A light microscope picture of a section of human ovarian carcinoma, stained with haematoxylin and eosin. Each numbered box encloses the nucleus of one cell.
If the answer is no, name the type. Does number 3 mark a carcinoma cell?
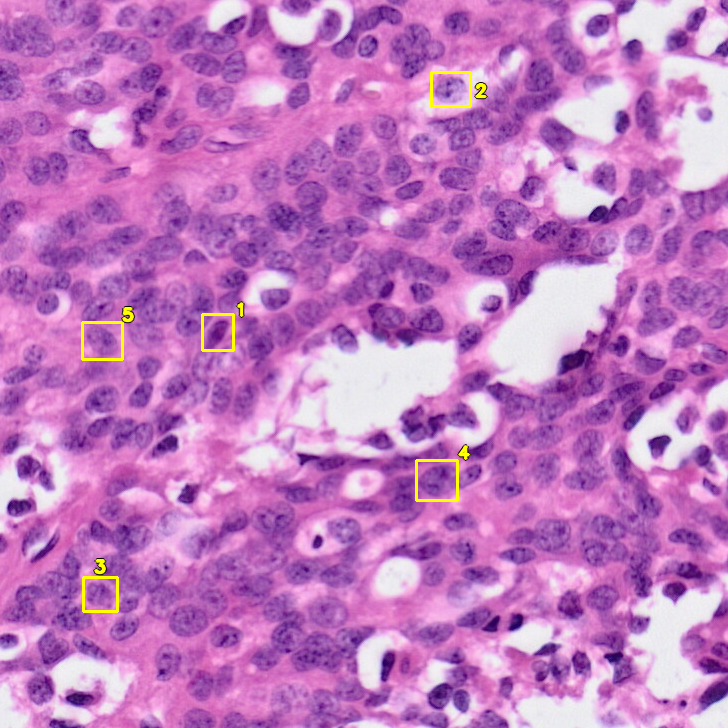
No, it is a macrophage or monocyte.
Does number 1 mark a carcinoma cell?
Yes.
